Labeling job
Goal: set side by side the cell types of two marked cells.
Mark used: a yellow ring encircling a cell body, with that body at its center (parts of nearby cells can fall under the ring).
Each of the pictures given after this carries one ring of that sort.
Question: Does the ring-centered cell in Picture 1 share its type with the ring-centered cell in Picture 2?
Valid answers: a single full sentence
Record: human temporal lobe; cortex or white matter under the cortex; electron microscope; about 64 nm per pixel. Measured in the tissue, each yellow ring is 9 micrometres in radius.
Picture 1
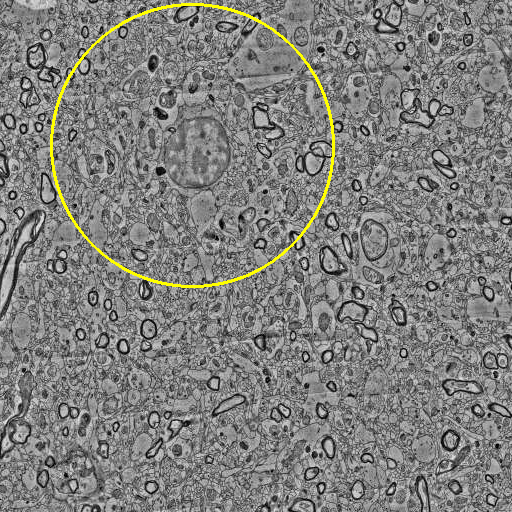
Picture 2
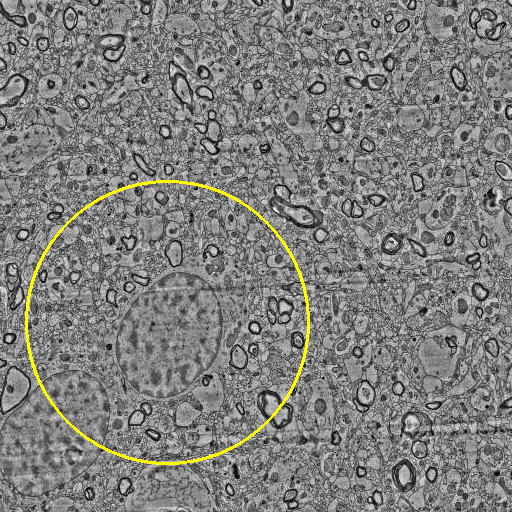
Yes, in Pictures 1 and 2 the cells at the ring centers share one type.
